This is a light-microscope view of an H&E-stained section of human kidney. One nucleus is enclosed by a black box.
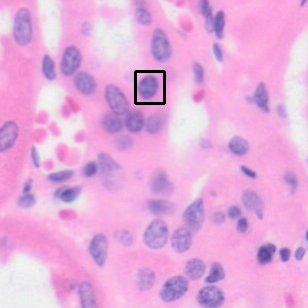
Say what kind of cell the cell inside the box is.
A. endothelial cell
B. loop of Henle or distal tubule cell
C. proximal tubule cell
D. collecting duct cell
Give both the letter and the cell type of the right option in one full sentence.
In this section the cell inside the box is a collecting duct cell; option D is therefore correct.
